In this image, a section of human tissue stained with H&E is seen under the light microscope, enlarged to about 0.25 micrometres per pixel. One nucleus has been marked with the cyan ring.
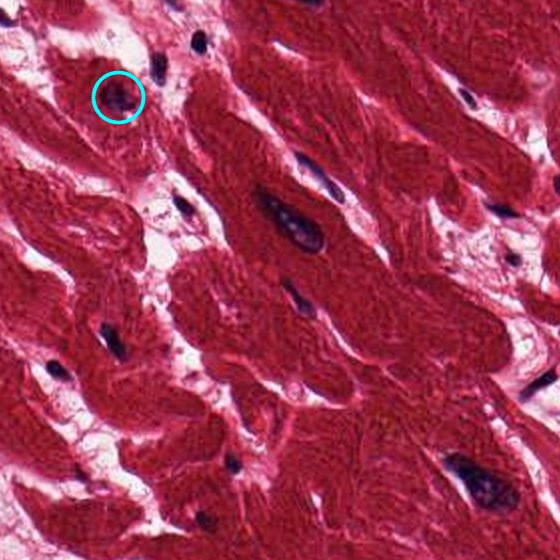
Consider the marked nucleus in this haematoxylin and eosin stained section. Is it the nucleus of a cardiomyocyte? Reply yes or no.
yes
